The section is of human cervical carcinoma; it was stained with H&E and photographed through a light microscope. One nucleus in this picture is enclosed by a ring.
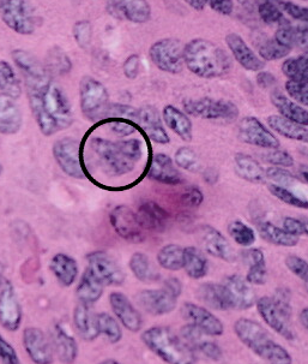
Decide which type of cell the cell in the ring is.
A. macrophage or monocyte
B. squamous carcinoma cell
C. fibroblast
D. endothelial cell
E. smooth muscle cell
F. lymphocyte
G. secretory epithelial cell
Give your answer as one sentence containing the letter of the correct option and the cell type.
Option B, which has the cell in the ring as a squamous carcinoma cell, is the correct choice.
